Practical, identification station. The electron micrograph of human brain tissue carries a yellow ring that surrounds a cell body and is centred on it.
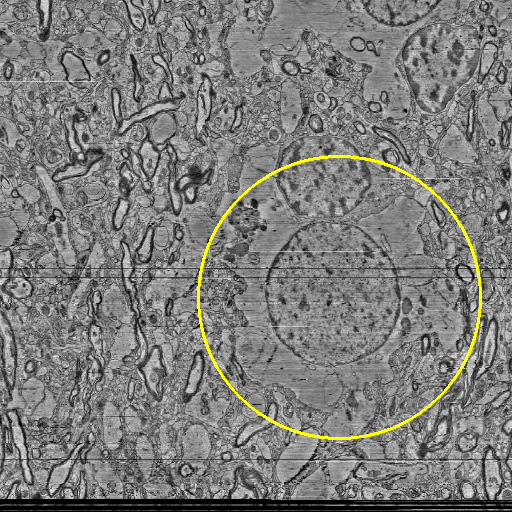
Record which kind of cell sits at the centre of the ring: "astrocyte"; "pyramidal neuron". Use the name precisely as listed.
astrocyte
